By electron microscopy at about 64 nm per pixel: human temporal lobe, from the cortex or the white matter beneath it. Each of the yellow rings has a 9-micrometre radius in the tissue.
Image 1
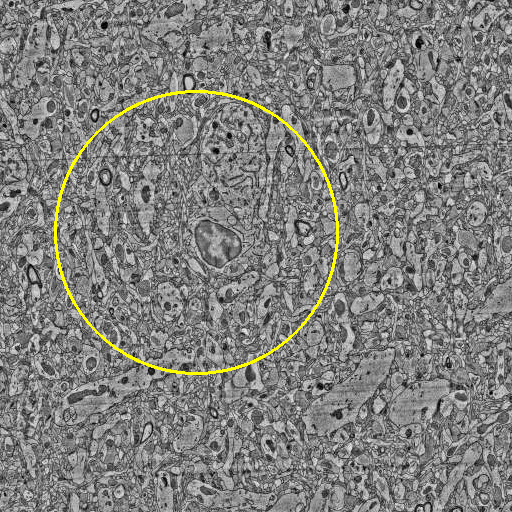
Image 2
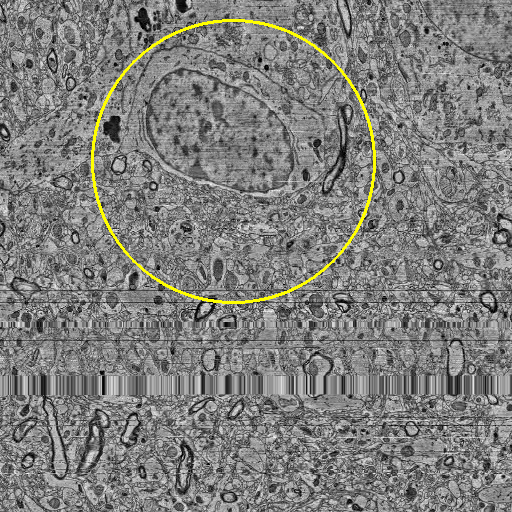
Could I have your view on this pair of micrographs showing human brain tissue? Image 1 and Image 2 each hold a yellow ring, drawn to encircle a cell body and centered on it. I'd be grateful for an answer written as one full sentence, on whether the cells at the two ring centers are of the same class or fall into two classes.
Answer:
The cells at the centers of the two rings are of the same class.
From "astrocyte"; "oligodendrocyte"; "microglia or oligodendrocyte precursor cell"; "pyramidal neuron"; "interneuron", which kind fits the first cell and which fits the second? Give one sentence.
In each of the two pictures, the ringed cell is a microglial cell or oligodendrocyte precursor cell.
